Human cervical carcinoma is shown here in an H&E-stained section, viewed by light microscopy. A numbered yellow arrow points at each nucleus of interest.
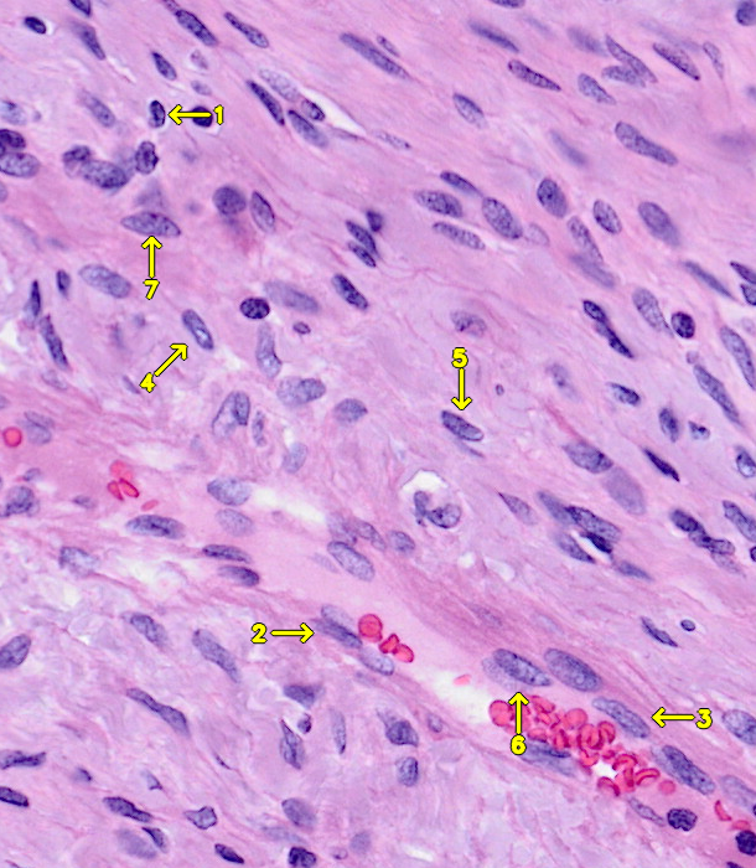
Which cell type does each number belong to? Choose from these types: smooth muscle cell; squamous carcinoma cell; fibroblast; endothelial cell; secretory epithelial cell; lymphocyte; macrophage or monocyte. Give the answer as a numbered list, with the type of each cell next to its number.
1. lymphocyte
2. endothelial cell
3. endothelial cell
4. fibroblast
5. fibroblast
6. endothelial cell
7. fibroblast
